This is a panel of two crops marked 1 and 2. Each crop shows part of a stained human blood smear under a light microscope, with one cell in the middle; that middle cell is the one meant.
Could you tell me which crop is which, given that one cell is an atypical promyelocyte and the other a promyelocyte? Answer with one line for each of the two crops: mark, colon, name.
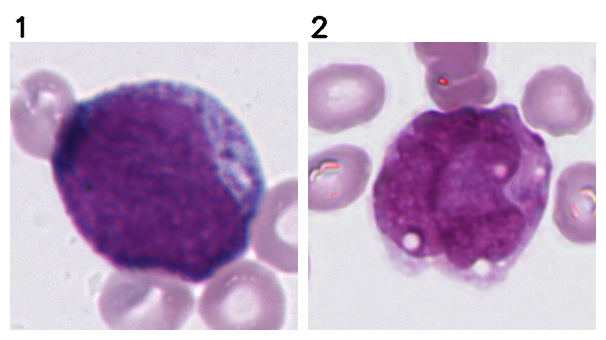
1: promyelocyte
2: atypical promyelocyte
